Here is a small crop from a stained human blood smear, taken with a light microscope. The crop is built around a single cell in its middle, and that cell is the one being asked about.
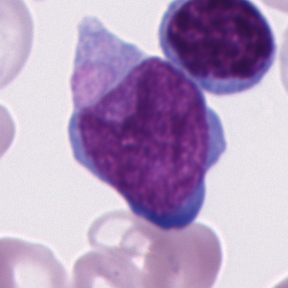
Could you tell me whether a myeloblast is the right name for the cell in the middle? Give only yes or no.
yes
